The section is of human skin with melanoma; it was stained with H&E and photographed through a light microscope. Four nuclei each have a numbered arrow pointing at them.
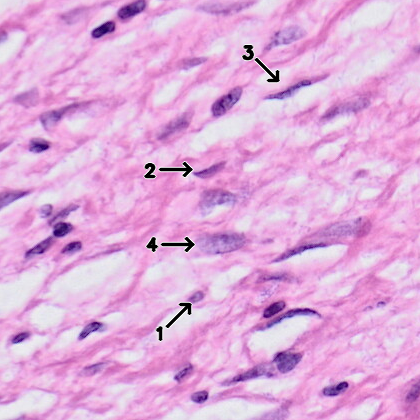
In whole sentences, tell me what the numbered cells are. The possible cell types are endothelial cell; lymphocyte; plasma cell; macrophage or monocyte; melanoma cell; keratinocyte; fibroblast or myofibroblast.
Cell 1 is a macrophage or monocyte. Cells 2, 3 and 4 are fibroblasts or myofibroblasts.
